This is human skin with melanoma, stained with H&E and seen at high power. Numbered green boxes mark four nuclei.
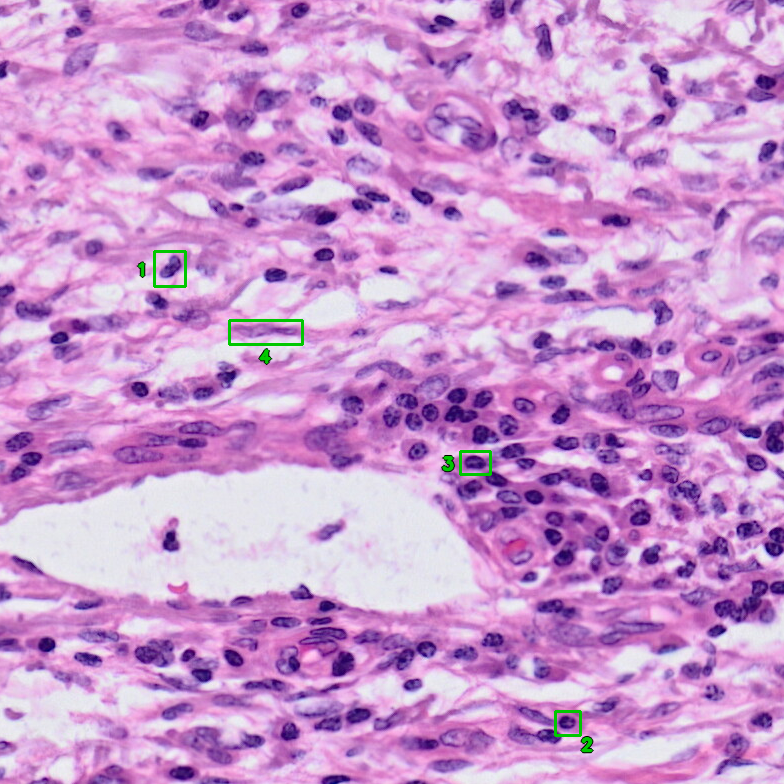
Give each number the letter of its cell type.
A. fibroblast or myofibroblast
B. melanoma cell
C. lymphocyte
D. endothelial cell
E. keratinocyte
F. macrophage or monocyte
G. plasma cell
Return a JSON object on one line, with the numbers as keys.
{"1": "C", "2": "G", "3": "G", "4": "A"}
